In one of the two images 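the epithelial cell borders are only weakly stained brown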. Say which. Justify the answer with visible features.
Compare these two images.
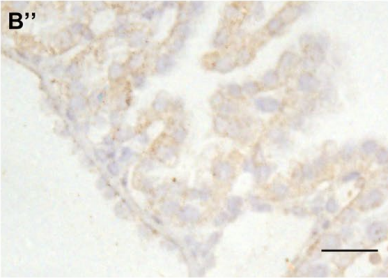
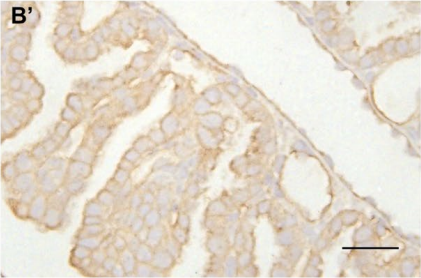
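The first image. First image: cell outlines are faint tan, nuclei dominate in blue. Second image: cell outlines are strong brown throughout the folds.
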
